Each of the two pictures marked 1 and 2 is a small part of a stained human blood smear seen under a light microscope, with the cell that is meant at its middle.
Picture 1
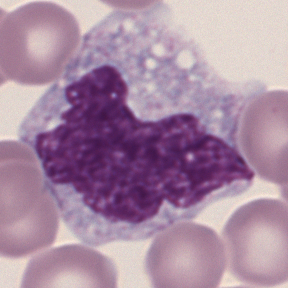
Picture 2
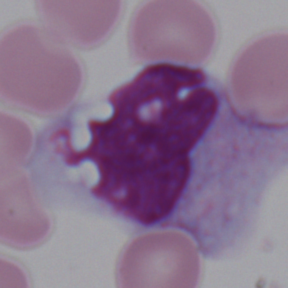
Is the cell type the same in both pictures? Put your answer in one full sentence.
Yes, they are the same type: both are monocytes.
